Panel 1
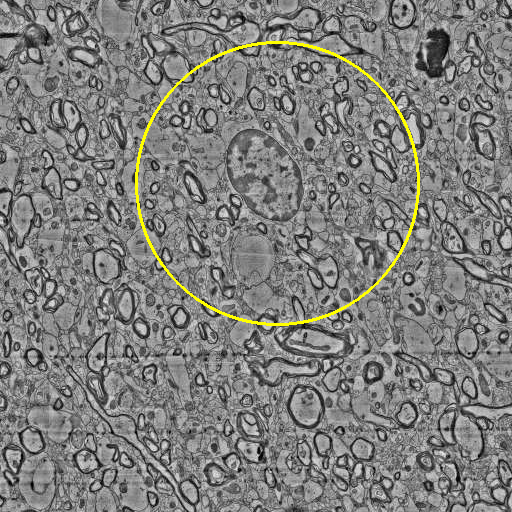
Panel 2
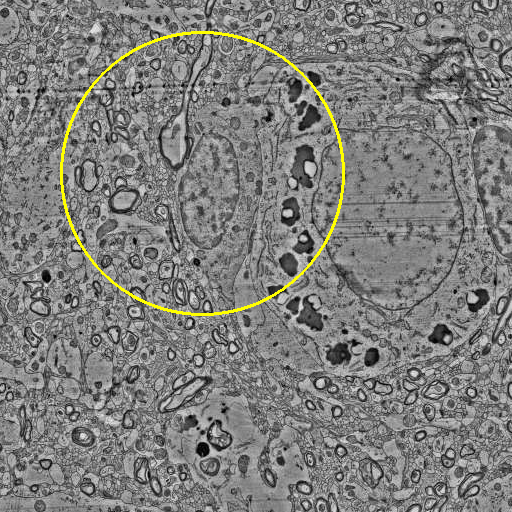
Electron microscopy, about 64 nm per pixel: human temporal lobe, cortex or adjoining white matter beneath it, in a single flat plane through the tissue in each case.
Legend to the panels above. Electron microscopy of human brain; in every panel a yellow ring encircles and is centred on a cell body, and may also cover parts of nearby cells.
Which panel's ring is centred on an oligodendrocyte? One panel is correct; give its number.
2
